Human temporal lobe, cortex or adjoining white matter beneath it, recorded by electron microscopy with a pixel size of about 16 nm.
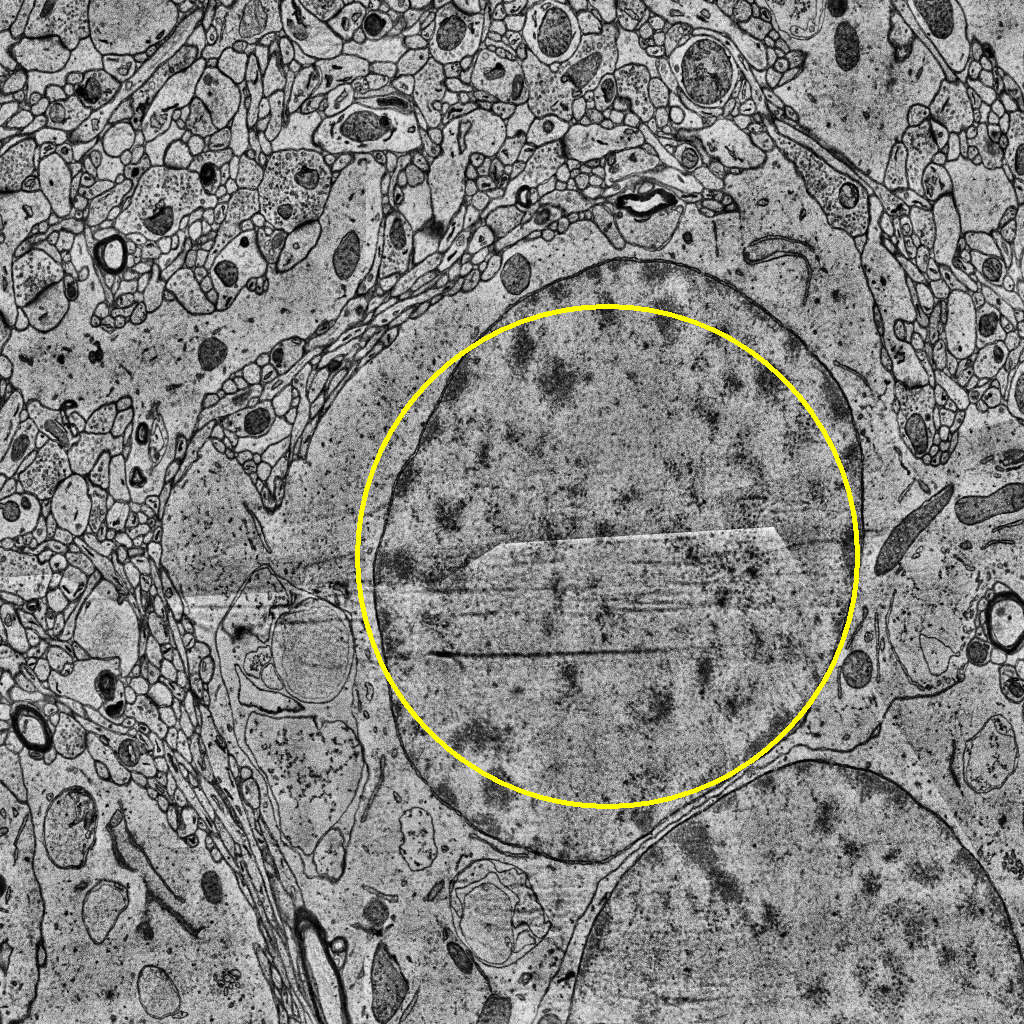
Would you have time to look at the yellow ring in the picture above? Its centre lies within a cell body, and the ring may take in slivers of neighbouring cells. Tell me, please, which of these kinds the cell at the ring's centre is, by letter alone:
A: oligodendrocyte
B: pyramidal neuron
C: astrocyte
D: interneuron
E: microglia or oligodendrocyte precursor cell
C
